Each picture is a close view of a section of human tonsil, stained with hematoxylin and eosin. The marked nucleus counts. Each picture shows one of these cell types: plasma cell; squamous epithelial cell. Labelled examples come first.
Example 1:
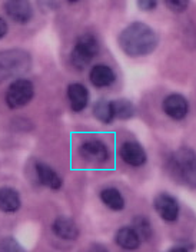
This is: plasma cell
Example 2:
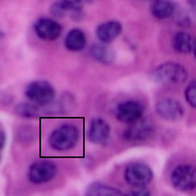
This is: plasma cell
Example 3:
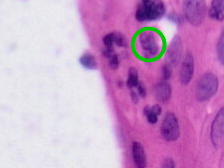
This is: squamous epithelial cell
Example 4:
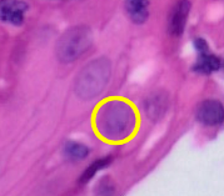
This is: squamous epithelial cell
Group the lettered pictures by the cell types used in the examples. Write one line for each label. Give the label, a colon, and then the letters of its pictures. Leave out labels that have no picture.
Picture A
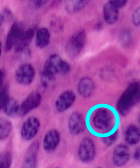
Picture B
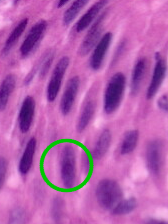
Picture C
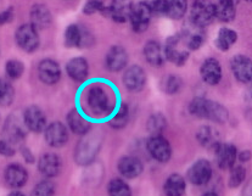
plasma cell: A, C
squamous epithelial cell: B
